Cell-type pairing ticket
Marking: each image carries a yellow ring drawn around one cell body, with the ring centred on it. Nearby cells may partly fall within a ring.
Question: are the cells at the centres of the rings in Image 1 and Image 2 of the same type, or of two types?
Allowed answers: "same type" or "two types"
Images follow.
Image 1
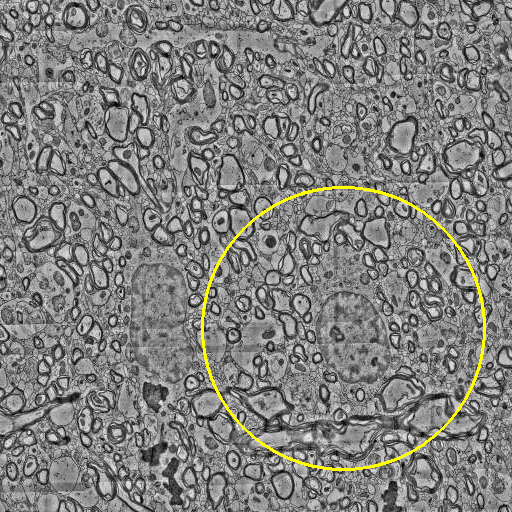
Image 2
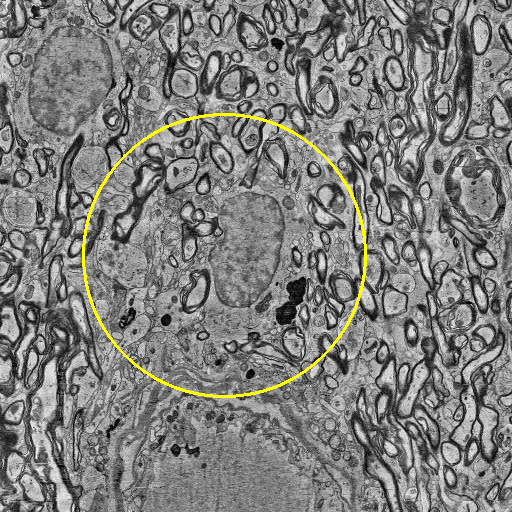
same type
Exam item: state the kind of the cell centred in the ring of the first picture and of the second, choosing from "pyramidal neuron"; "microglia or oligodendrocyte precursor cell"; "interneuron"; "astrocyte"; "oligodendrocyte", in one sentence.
Each cell, in the first picture and the second, is an oligodendrocyte.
